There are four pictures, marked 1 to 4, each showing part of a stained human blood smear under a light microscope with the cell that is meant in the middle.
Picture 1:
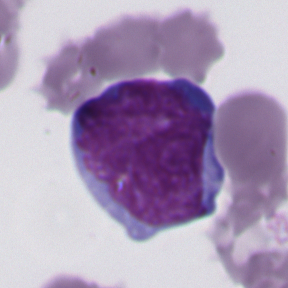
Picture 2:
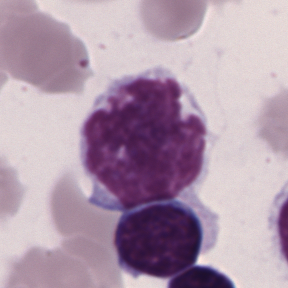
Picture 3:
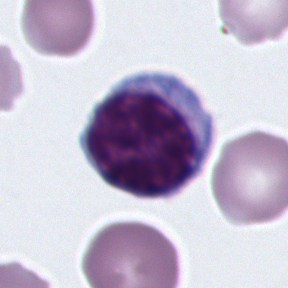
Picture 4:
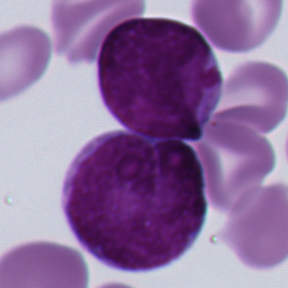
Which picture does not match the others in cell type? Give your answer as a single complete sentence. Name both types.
Unlike the rest, which show myeloblasts, picture 3 shows a typical lymphocyte.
